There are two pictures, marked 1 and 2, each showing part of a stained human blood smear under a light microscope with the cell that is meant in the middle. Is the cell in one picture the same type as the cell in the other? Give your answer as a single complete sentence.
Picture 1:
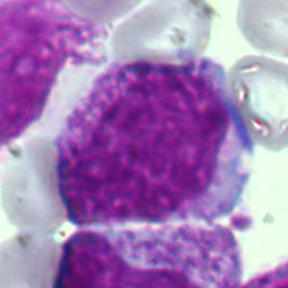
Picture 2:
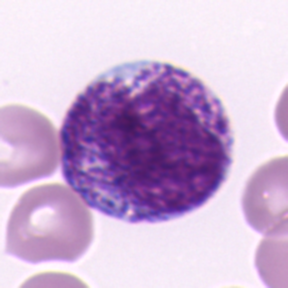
No, they differ: the cell is a promyelocyte in picture 1 and a myelocyte in picture 2.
